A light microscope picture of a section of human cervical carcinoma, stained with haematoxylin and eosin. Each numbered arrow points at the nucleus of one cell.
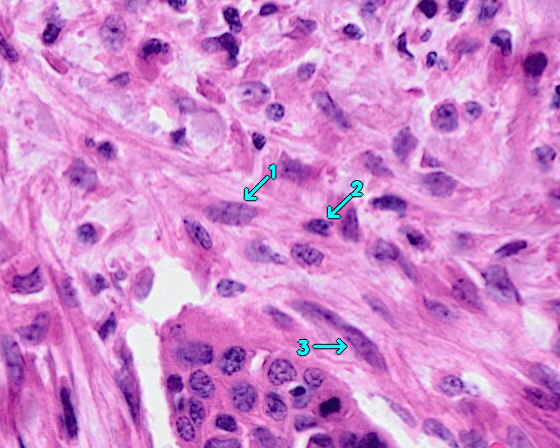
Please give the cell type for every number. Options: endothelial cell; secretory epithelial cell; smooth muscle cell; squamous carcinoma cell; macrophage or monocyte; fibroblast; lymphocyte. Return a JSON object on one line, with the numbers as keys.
{"1": "fibroblast", "2": "lymphocyte", "3": "fibroblast"}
